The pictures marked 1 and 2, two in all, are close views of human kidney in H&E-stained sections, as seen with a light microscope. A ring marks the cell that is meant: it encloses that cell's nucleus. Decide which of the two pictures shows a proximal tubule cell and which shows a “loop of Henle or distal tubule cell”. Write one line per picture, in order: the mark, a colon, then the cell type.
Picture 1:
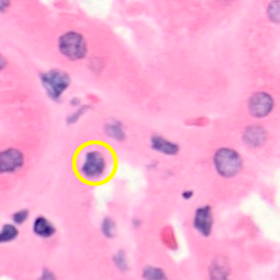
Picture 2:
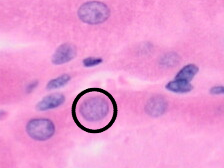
1: loop of Henle or distal tubule cell
2: proximal tubule cell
